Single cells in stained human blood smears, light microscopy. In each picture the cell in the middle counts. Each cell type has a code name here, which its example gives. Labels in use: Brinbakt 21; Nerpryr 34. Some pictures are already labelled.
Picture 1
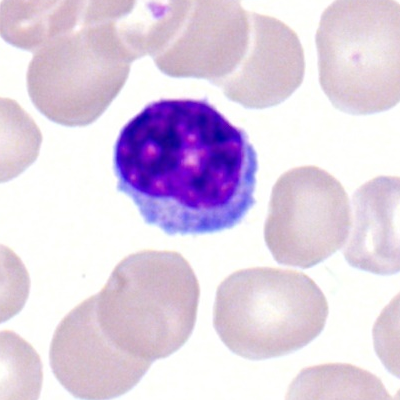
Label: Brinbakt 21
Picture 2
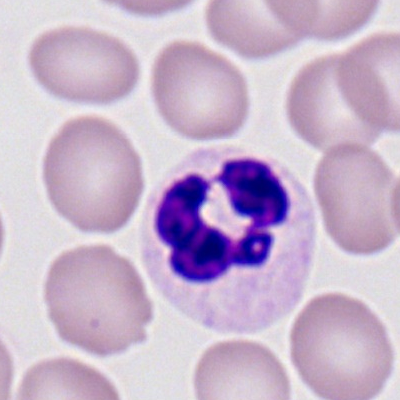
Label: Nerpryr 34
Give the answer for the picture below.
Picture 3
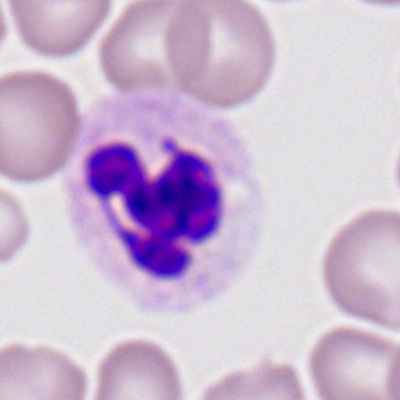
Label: Nerpryr 34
